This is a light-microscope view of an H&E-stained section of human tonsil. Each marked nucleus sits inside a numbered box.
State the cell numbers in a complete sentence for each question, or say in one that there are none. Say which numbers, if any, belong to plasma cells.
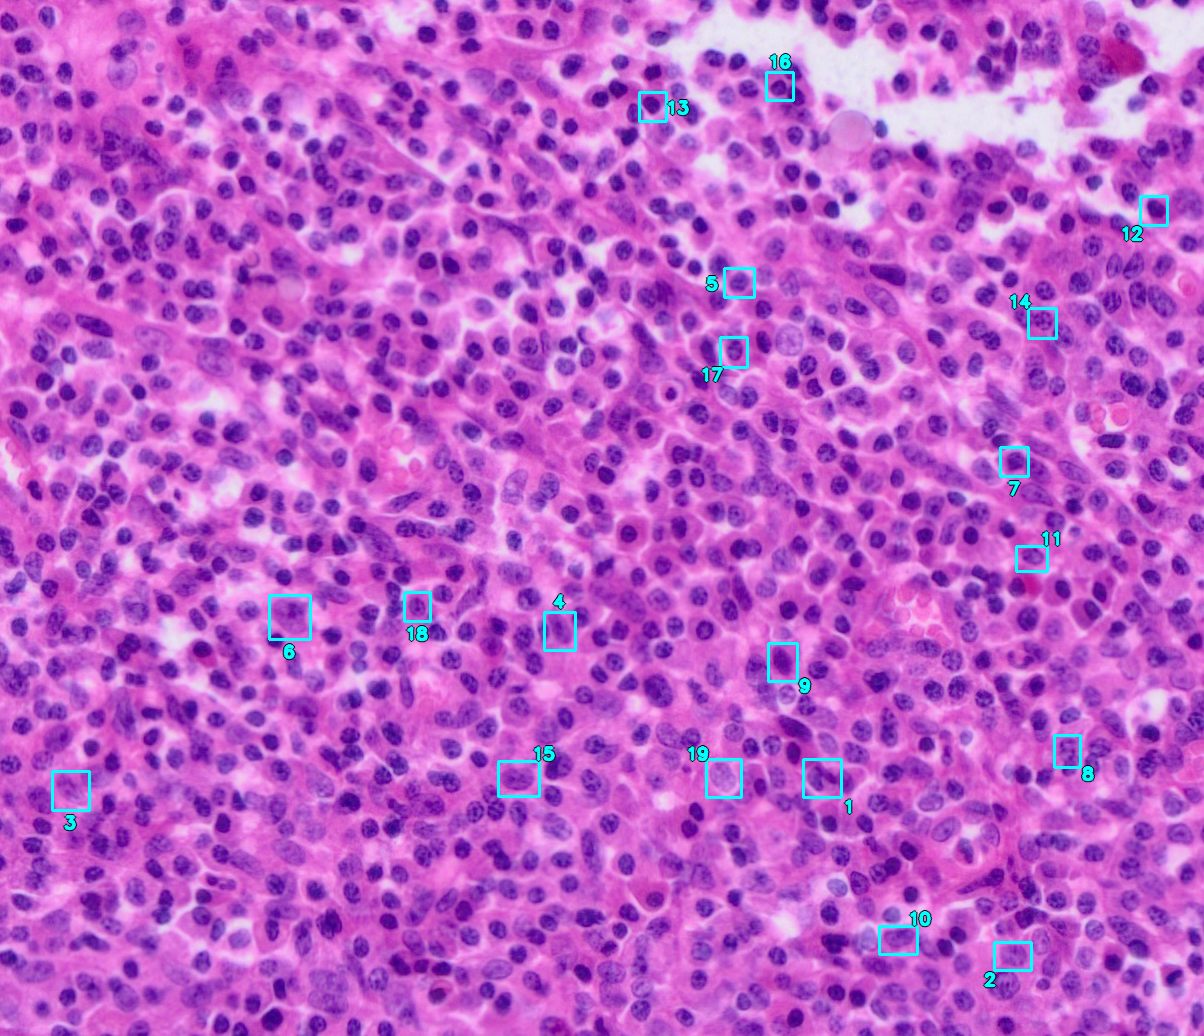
By cell type, the cells numbered 5, 7, 8, 11, 12, 13, 14, 16, 17 and 18 are plasma cells.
